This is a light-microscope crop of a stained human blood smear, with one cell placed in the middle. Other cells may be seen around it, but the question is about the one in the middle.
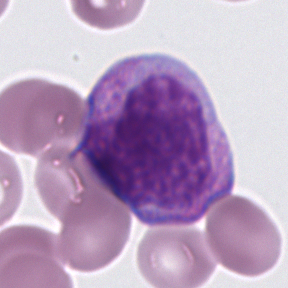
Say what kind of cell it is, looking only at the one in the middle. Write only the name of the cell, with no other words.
atypical promyelocyte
